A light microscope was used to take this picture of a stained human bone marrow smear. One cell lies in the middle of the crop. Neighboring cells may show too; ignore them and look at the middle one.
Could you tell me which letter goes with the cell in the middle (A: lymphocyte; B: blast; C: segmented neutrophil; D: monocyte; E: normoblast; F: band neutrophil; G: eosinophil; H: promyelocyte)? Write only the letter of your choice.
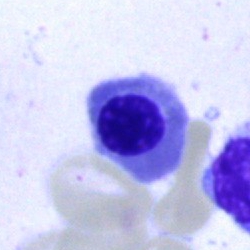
E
